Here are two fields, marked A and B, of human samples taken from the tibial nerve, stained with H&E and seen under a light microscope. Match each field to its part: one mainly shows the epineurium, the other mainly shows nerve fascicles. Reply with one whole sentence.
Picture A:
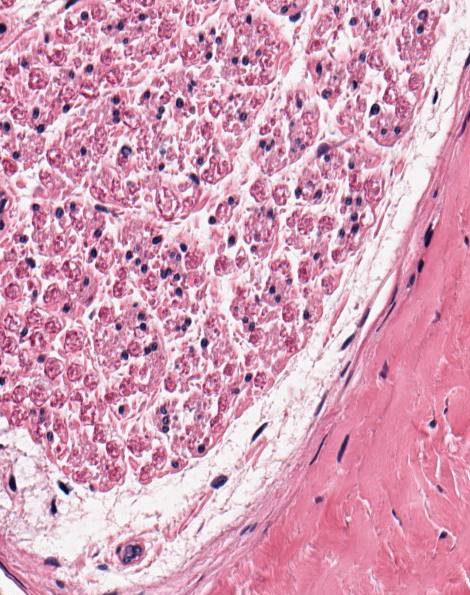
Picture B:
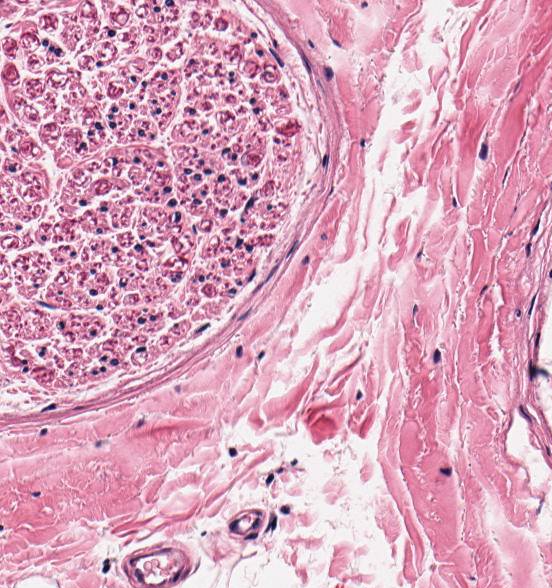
Picture A mainly shows nerve fascicles and picture B mainly shows the epineurium.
